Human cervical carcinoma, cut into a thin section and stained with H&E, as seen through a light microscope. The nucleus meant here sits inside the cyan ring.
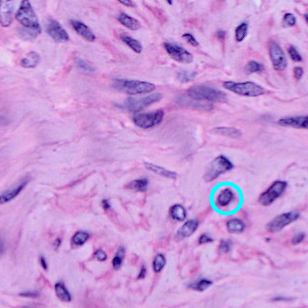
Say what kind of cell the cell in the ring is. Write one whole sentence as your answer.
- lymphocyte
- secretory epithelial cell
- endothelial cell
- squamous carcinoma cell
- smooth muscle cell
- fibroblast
The correct response here is that the cell in the ring is a smooth muscle cell.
